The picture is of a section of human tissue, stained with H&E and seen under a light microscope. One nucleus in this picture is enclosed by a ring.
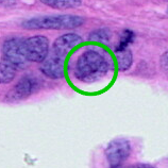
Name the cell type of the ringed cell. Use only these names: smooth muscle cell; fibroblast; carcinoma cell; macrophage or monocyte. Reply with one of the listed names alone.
carcinoma cell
